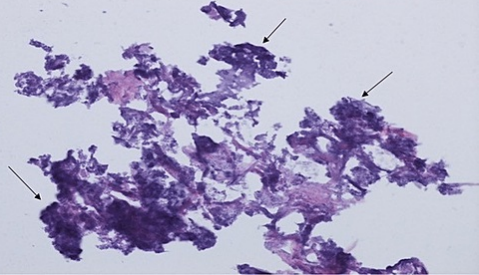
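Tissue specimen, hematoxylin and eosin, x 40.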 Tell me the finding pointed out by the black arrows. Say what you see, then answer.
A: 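Basophilic calcium. Arrows point to dark purple, granular, clumped deposits. The deposits are fragmented and cracked, without nuclei or cell outlines. Paler pink fibrous material lies among the purple clumps.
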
